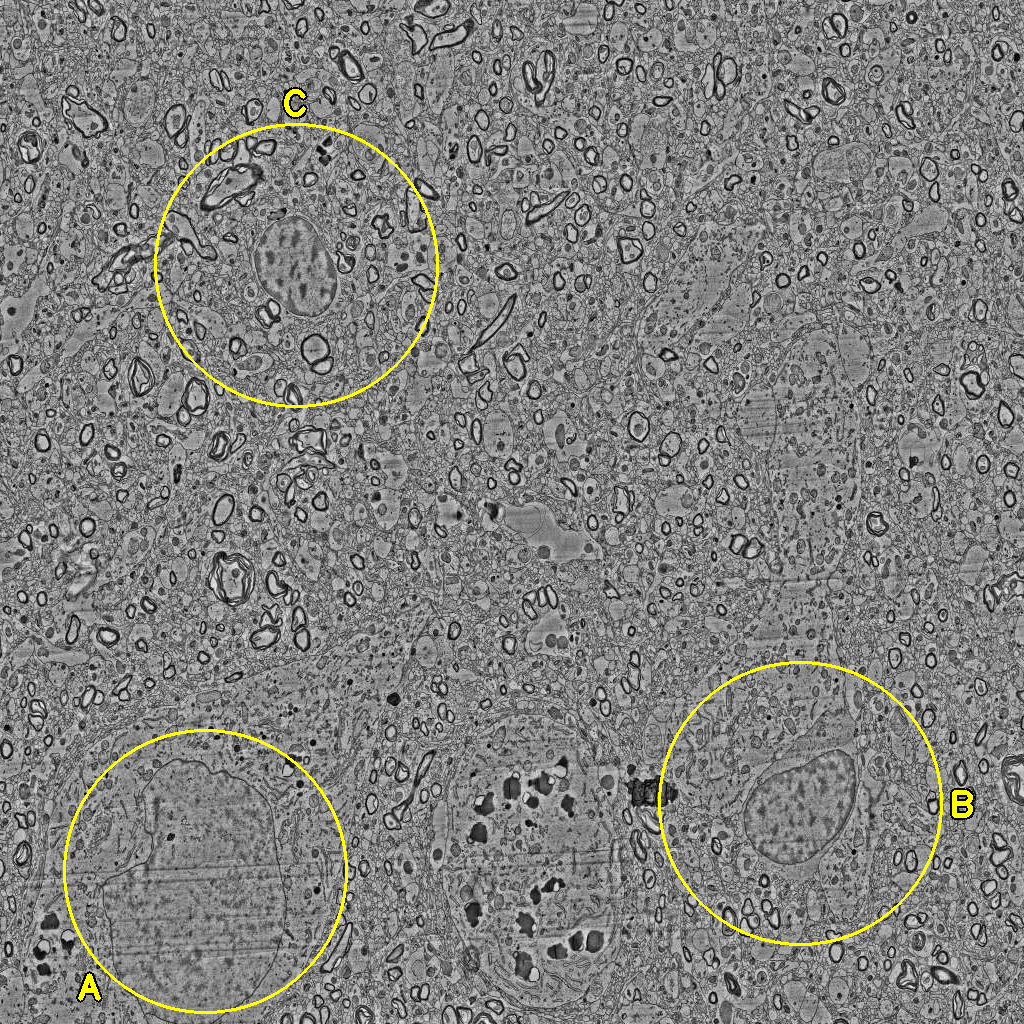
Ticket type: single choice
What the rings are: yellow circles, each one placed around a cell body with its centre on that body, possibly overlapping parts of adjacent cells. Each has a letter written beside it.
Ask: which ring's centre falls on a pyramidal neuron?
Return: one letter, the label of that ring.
A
